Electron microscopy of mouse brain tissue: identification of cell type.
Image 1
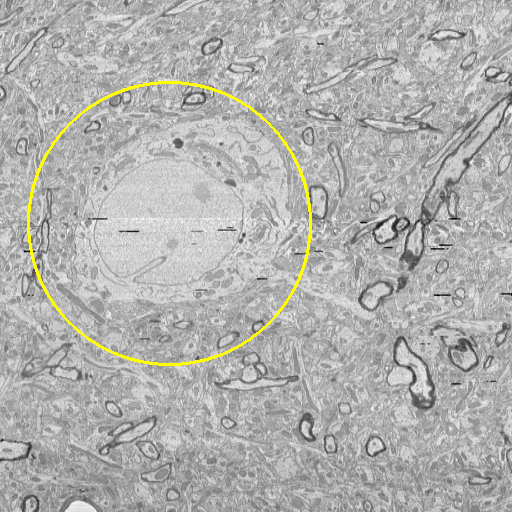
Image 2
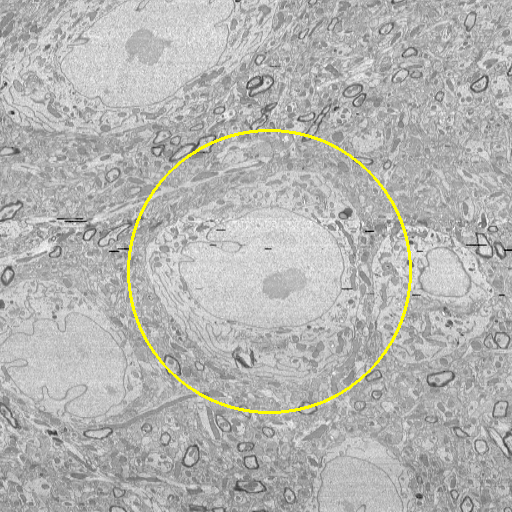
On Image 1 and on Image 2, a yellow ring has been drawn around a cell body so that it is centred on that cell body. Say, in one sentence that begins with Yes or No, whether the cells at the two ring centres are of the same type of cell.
Yes, both cells are the same type of cell.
